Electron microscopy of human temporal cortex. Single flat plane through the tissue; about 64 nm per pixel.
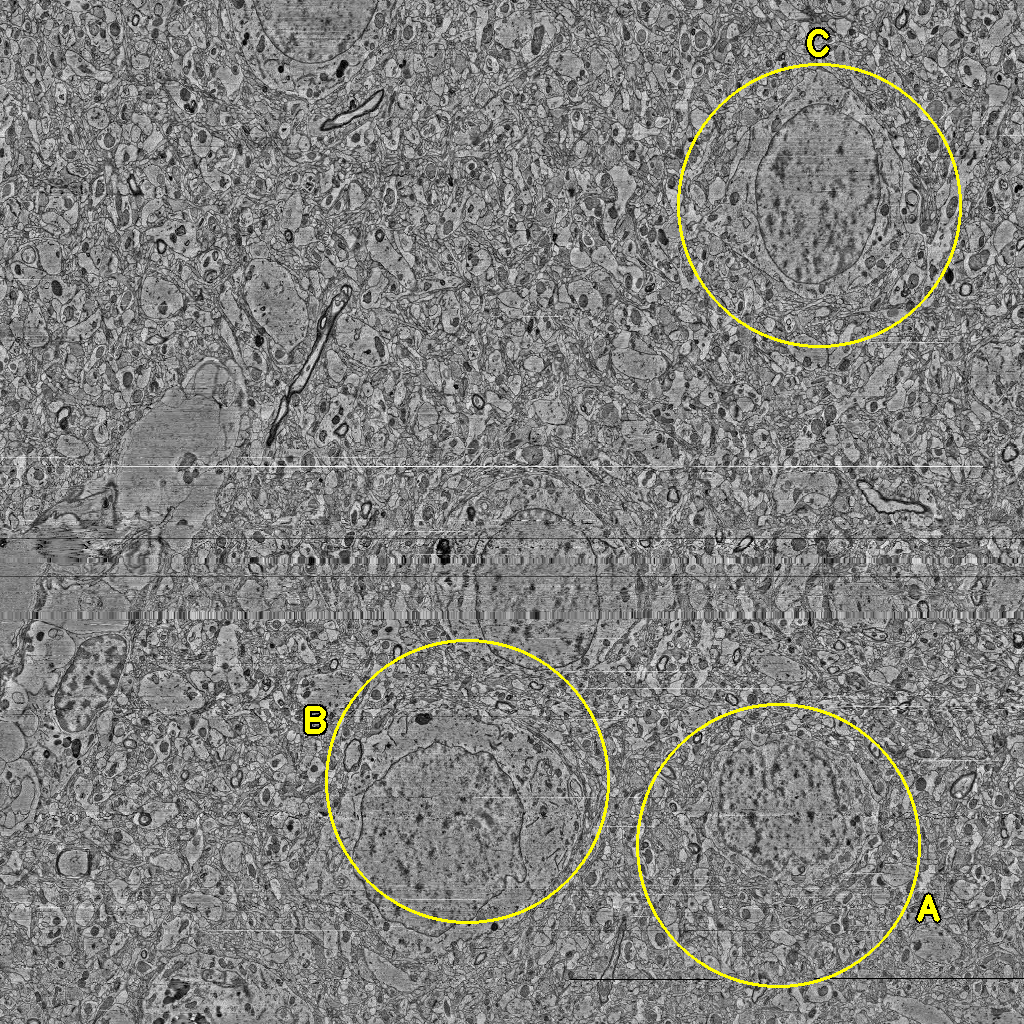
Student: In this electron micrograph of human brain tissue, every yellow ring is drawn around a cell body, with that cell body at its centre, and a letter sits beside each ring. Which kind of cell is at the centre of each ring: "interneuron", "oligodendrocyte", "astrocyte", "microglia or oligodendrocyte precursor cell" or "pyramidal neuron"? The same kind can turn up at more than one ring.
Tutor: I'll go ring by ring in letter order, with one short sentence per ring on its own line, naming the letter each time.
Ring A: the cell at its centre is an interneuron.
Ring B: the cell at its centre is a pyramidal neuron.
Ring C: the cell at its centre is a pyramidal neuron.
